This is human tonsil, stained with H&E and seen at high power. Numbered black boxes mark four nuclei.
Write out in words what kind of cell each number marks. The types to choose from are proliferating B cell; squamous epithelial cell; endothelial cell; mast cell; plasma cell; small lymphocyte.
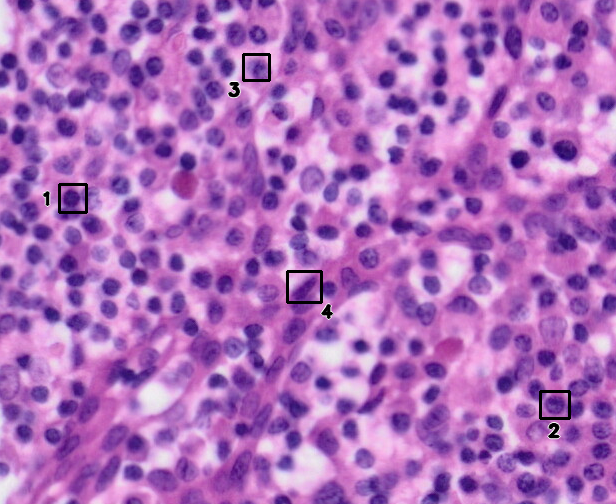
Cell 1 is a plasma cell, cell 2 is a plasma cell, cell 3 is a plasma cell and cell 4 is a squamous epithelial cell.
